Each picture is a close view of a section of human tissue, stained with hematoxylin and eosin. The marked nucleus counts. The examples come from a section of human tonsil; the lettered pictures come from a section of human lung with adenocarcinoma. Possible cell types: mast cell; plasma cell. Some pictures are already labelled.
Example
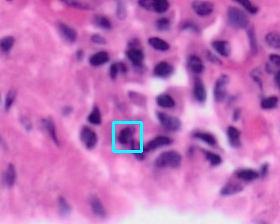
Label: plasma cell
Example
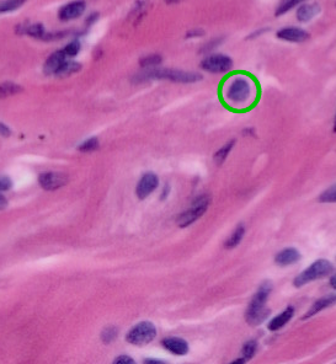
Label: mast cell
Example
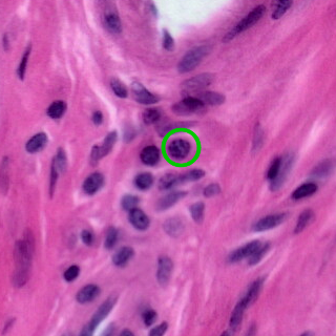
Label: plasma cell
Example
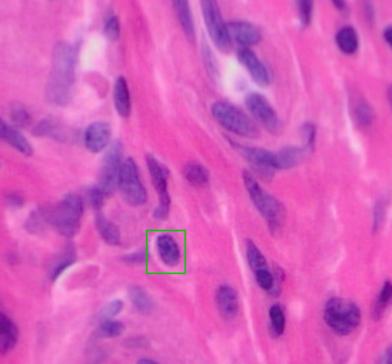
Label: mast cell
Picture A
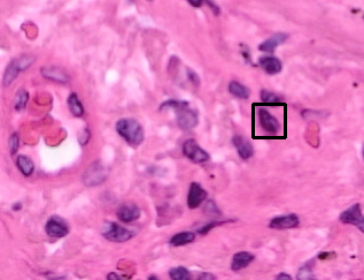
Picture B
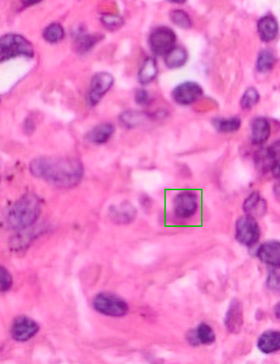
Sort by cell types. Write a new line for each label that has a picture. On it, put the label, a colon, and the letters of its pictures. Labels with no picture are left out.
plasma cell: A, B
